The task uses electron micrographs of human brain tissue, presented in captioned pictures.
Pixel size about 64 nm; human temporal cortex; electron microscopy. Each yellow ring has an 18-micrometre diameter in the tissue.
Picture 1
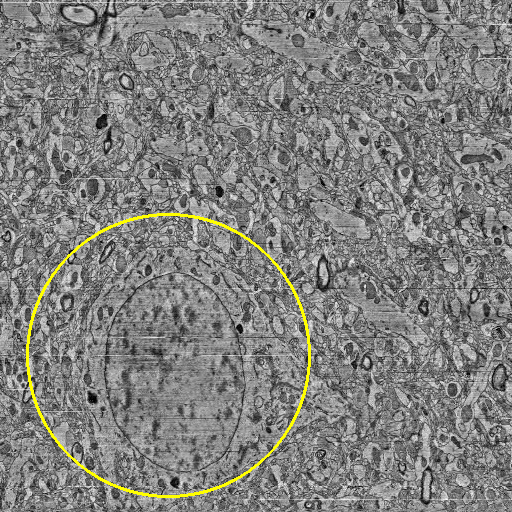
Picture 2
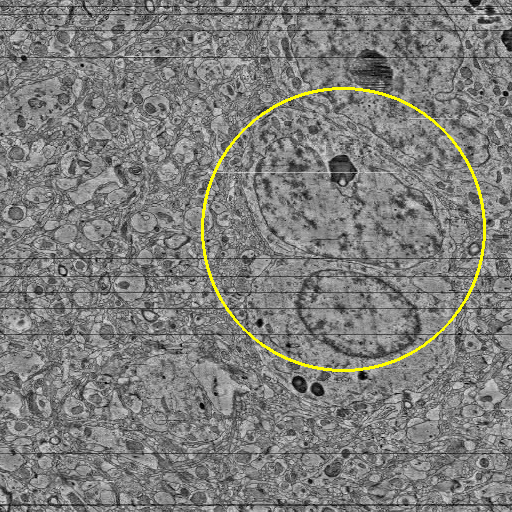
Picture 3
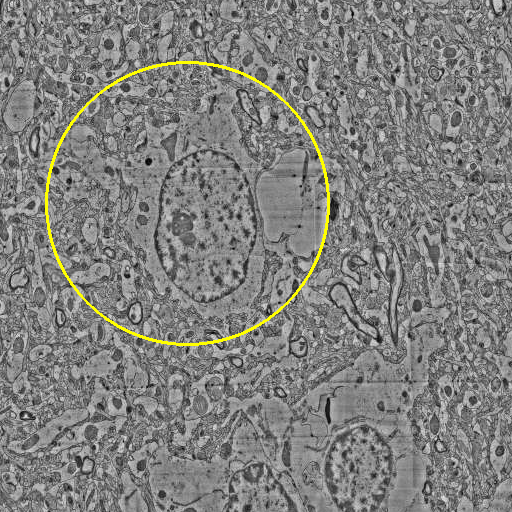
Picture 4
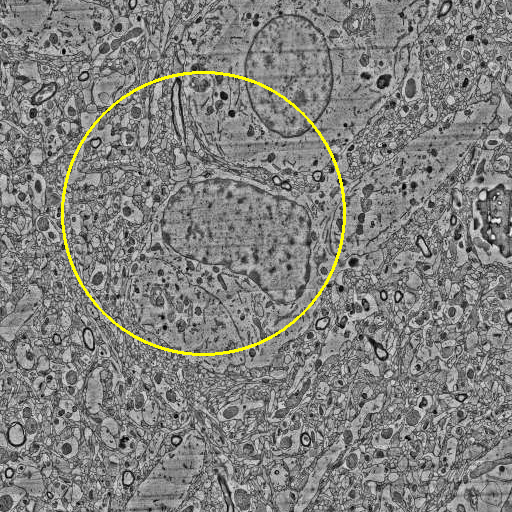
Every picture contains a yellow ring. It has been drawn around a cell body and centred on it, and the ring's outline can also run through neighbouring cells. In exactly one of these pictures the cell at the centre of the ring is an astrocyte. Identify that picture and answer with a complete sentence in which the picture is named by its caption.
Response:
The ring in Picture 3 is centred on that kind of cell.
